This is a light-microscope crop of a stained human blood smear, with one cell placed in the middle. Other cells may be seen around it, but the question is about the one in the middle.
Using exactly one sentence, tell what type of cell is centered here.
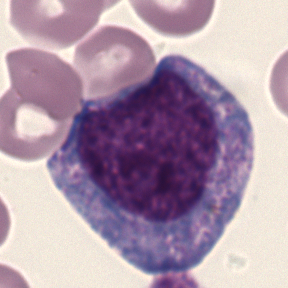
Classified as a promyelocyte is the cell in the middle of this crop.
